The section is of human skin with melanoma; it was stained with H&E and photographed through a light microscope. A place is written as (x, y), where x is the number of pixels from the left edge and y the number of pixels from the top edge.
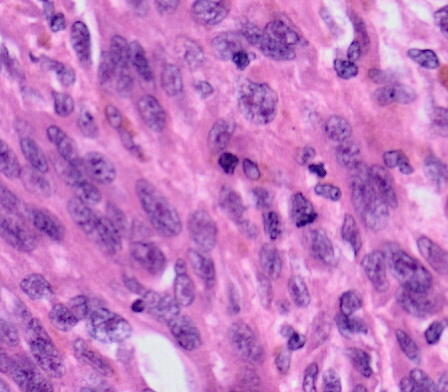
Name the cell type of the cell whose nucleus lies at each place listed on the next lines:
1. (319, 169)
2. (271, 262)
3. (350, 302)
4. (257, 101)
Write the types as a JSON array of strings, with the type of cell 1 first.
["lymphocyte", "melanoma cell", "melanoma cell", "melanoma cell"]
